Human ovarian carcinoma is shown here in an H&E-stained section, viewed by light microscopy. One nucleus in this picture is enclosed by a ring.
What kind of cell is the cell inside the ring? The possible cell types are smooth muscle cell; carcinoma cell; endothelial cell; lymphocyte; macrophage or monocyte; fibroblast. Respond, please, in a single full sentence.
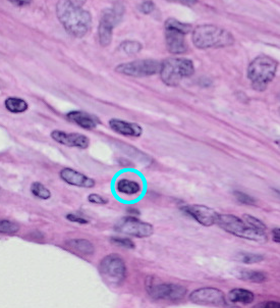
In cell-type terms, the cell inside the ring is a lymphocyte.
